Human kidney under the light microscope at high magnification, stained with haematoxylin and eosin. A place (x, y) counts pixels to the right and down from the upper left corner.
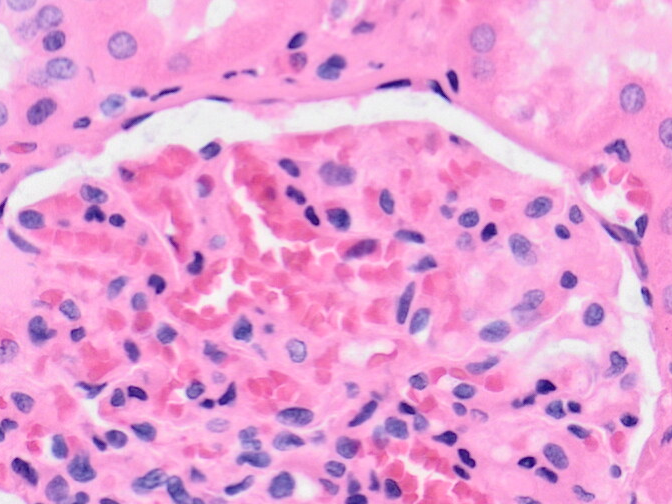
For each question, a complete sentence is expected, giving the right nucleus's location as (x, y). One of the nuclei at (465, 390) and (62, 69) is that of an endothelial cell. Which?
The one belonging to an endothelial cell is the nucleus at (465, 390), not the other.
